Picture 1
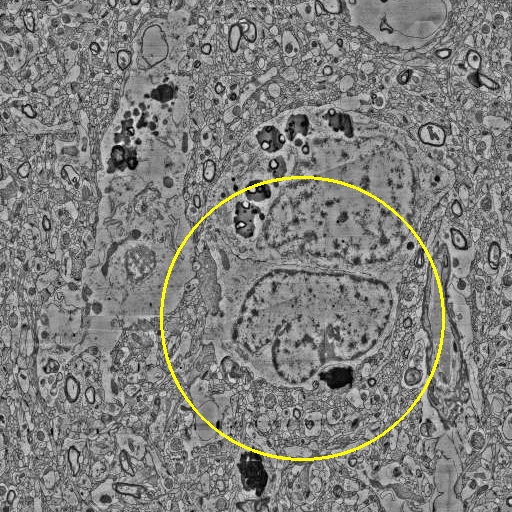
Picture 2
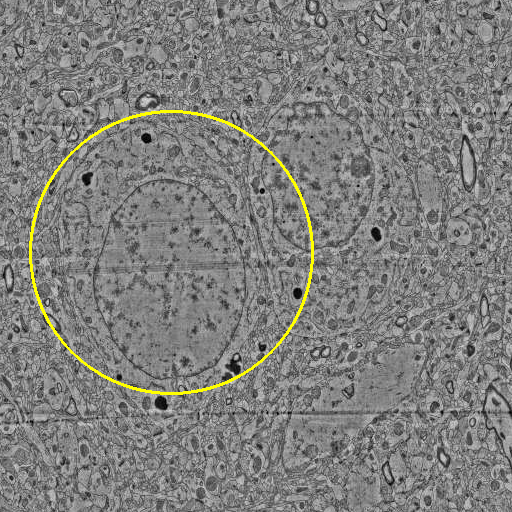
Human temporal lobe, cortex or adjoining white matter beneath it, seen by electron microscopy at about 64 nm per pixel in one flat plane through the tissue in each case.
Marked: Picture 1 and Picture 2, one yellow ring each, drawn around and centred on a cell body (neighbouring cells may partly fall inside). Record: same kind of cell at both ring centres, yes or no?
no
